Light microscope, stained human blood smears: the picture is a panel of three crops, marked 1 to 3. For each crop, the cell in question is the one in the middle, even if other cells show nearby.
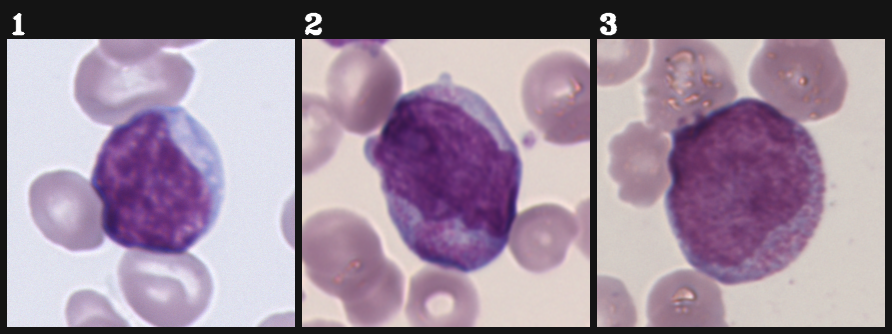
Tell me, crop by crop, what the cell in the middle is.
1: myeloblast
2: atypical promyelocyte
3: promyelocyte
